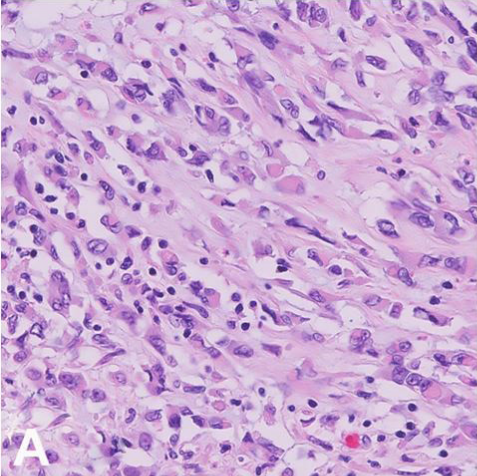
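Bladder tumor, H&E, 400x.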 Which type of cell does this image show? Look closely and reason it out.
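Cells vary in size and shape, some rounded and some elongated. Elongated cells run in a roughly parallel direction.
Hence: pleomorphic round-to-spindle shaped cells.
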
